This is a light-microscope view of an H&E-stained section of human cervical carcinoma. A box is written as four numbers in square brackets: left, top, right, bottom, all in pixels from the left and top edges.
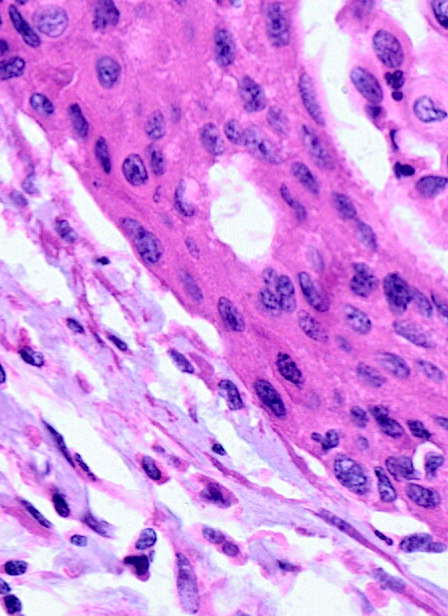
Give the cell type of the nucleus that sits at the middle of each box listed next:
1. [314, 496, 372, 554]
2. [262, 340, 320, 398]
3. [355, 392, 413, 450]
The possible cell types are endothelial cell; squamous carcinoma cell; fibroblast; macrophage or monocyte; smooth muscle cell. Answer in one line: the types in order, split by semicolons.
fibroblast; squamous carcinoma cell; squamous carcinoma cell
